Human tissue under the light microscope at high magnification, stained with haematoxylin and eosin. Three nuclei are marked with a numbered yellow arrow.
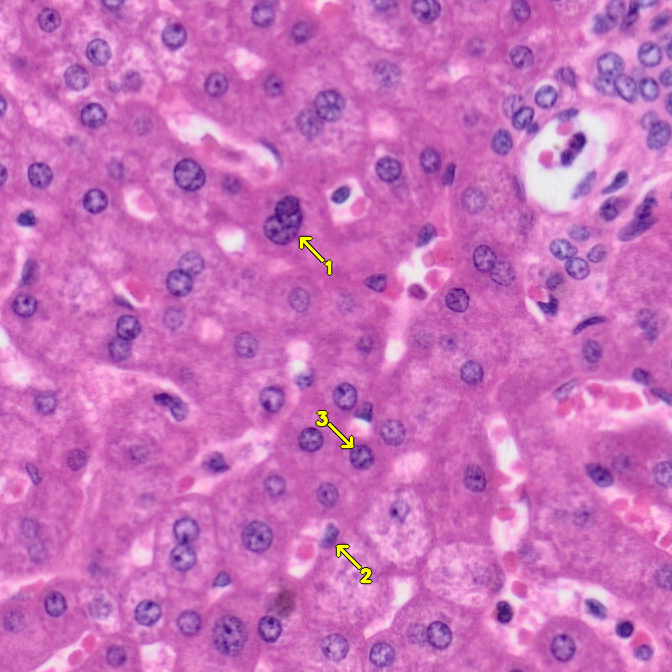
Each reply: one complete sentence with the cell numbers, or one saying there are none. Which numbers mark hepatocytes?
By cell type, the cells numbered 1 and 3 are hepatocytes.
